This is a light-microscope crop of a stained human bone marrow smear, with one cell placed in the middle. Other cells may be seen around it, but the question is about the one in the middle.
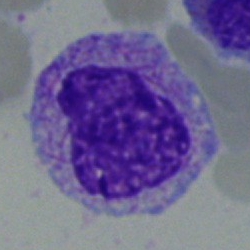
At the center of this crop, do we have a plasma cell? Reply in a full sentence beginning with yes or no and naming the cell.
No, in the centre of the crop lies a myelocyte, not a plasma cell.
